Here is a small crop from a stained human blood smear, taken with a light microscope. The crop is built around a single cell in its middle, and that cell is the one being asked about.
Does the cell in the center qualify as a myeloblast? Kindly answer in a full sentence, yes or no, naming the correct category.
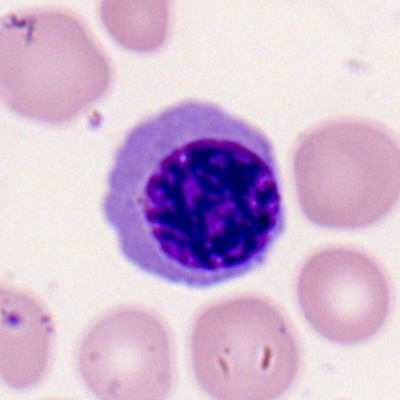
No, the correct answer for the middle cell is an erythroblast, not a myeloblast.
